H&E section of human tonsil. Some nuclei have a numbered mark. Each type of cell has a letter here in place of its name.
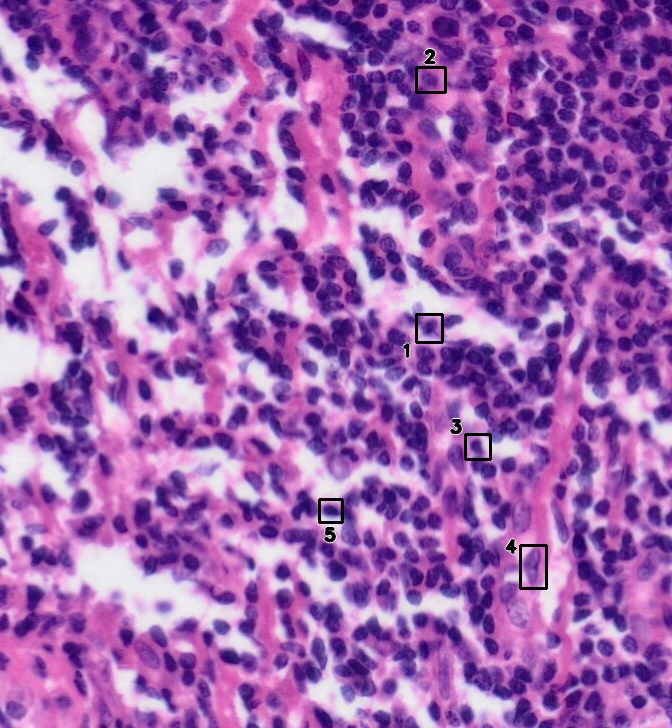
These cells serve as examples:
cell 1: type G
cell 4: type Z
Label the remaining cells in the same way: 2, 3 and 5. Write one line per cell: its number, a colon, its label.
2: type Z
3: type G
5: type G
